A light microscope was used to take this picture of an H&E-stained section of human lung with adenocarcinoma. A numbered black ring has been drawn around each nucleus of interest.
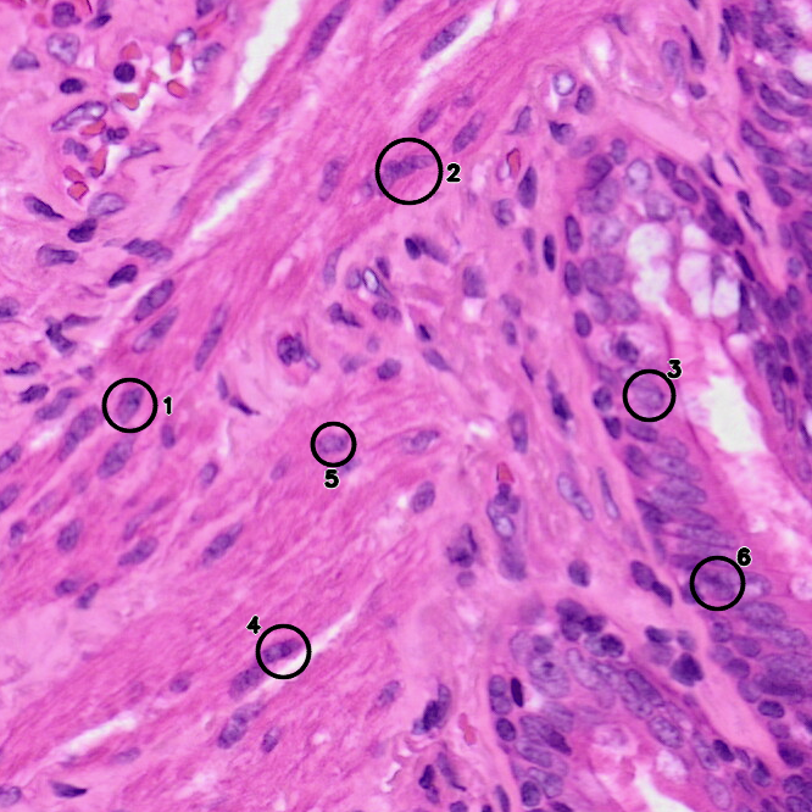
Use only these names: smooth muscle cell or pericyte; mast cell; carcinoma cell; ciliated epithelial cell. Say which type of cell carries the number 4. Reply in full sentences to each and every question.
The cell identified by number 4 is a smooth muscle cell or pericyte.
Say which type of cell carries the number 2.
It is as a smooth muscle cell or pericyte that the cell numbered 2 is identified.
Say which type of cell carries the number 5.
Marked with the number 5, this cell is a smooth muscle cell or pericyte.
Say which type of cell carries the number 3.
Among the marked nuclei, number 3 belongs to a ciliated epithelial cell.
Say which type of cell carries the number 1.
Cell 1, among those numbered, is a smooth muscle cell or pericyte.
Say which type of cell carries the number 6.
Cell 6, among those numbered, is a ciliated epithelial cell.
